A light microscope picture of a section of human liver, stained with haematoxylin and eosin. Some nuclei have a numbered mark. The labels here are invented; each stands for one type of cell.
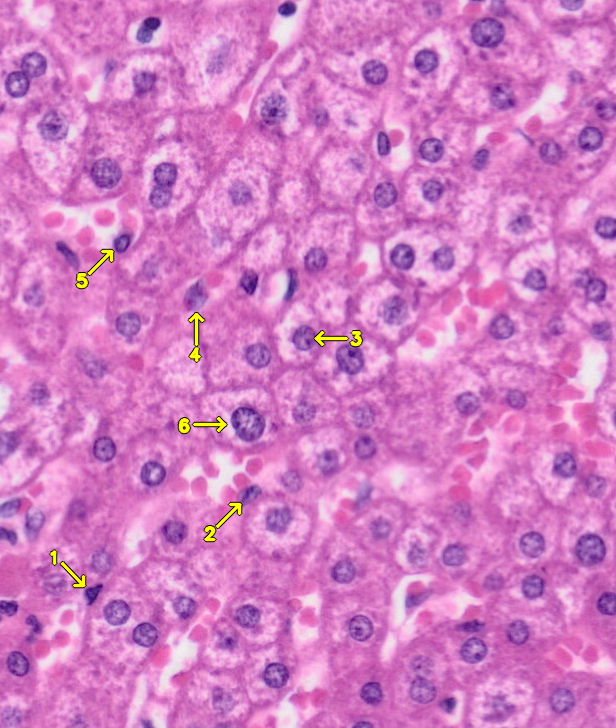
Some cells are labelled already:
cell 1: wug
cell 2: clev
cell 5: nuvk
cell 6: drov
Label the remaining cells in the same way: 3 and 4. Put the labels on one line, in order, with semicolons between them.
drov; clev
